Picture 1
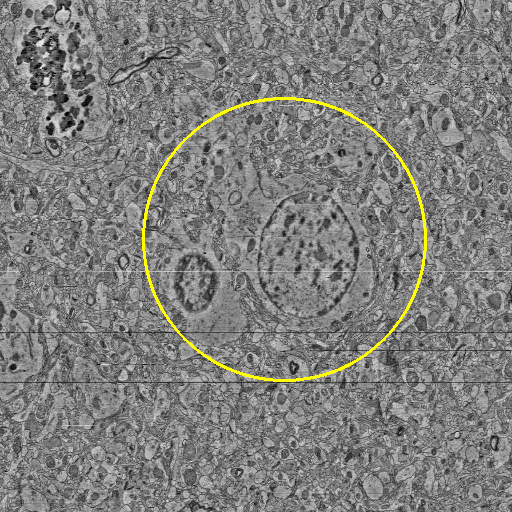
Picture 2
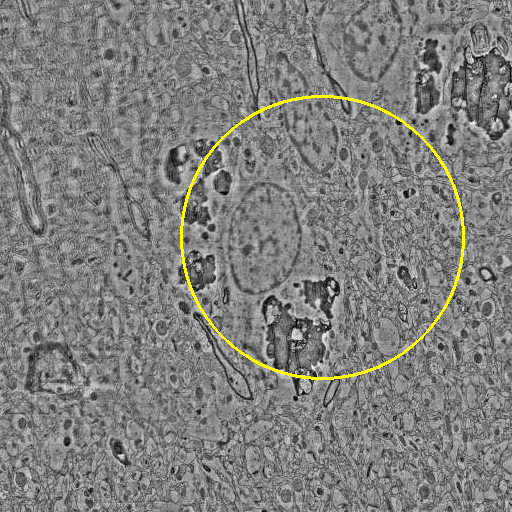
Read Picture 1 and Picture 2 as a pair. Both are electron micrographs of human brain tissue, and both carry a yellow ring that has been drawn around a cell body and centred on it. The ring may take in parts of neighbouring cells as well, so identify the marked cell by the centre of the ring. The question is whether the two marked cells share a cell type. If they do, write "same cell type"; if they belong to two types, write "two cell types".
same cell type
